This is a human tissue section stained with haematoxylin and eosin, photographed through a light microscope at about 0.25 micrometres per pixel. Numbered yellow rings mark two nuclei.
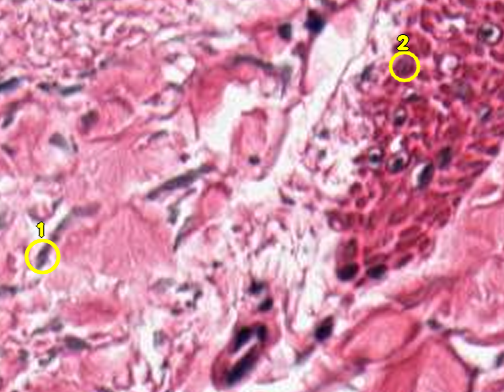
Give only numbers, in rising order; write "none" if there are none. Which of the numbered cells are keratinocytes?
2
